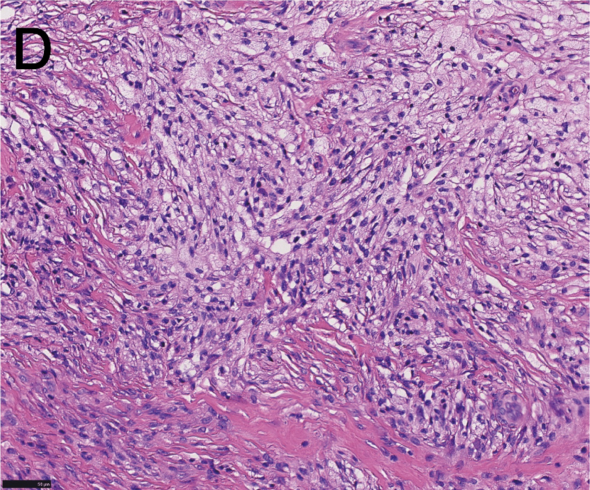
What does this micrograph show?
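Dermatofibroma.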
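Tumor cells with pale, foamy, finely vacuolated cytoplasm, mixed with spindle and oval cells. Foamy cells form loose sheets, most prominent in the upper part of the field. Nuclei are small, round to oval and dark purple. Bands of pink collagen run through the lower part of the field.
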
